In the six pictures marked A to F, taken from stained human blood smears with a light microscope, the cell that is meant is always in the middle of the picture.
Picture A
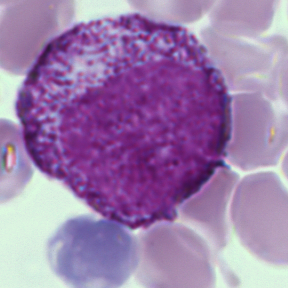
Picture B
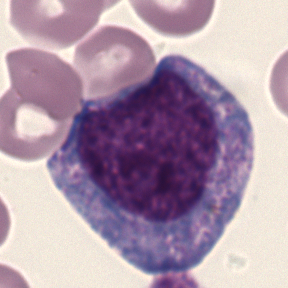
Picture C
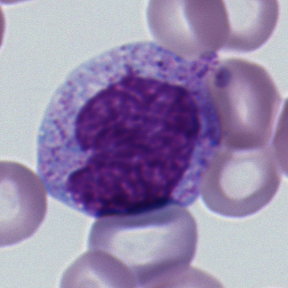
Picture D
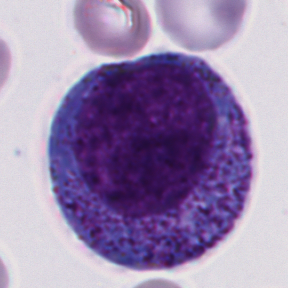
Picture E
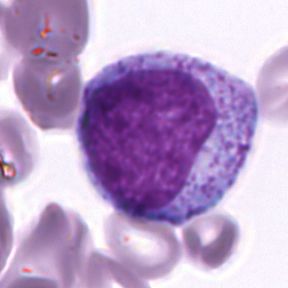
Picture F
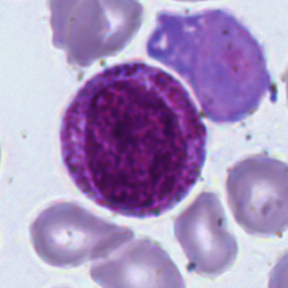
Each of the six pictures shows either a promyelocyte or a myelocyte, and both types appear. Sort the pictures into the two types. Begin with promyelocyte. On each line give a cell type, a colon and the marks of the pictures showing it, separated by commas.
promyelocyte: B, D, E
myelocyte: A, C, F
